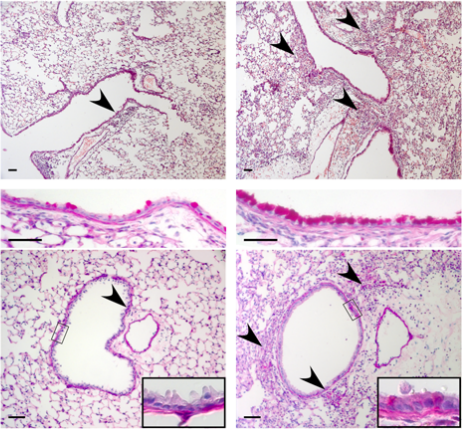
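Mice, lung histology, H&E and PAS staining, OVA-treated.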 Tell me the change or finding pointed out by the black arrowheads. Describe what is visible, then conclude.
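The arrowheads point to the walls around airway lumens. Dense clusters of small dark nuclei sit in the tissue around the airways they point to. So: immune cell infiltration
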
